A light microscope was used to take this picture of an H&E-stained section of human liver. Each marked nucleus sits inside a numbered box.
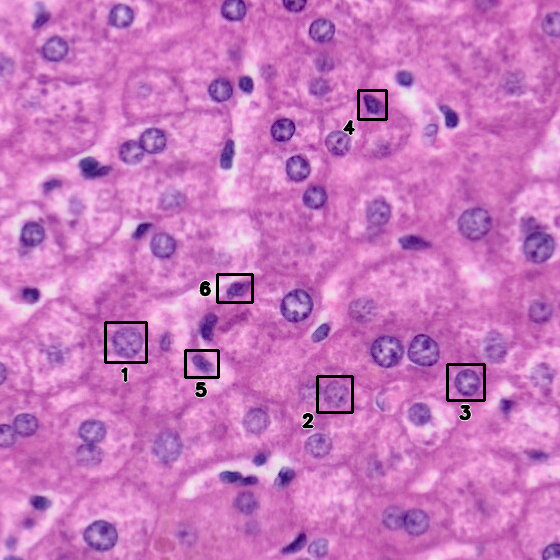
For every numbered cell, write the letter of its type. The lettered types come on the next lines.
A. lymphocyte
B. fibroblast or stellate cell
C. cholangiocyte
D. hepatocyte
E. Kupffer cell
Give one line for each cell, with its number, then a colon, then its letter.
1: D
2: D
3: D
4: B
5: E
6: E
